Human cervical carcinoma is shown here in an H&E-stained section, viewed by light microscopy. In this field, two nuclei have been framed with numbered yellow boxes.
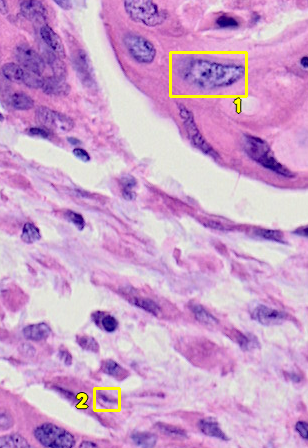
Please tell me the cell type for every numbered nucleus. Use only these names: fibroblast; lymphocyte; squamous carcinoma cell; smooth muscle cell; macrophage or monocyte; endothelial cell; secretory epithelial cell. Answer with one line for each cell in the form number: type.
1: squamous carcinoma cell
2: fibroblast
